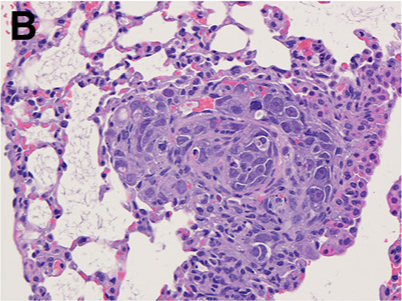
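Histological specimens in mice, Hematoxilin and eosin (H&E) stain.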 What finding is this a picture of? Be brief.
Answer: lung metastases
